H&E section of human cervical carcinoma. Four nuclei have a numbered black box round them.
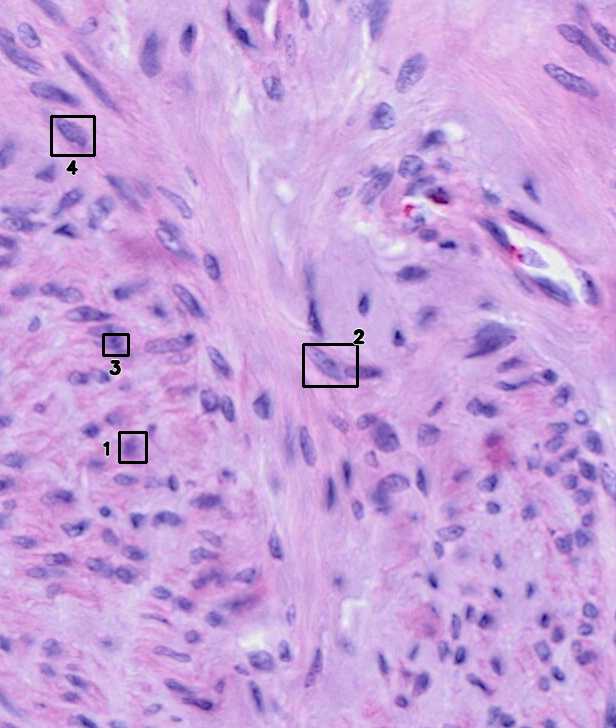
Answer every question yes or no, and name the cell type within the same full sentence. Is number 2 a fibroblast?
No, cell 2 is identified not as a fibroblast but as a smooth muscle cell.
